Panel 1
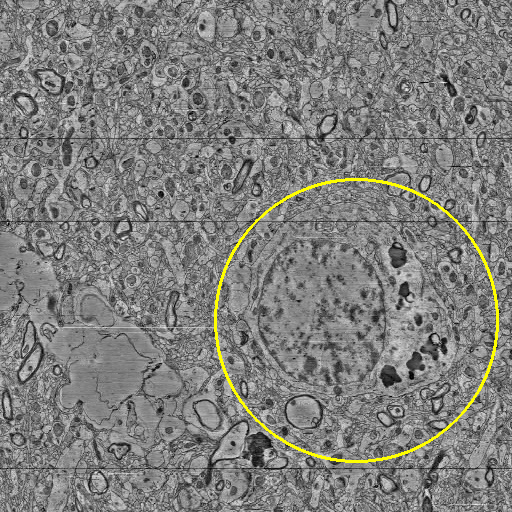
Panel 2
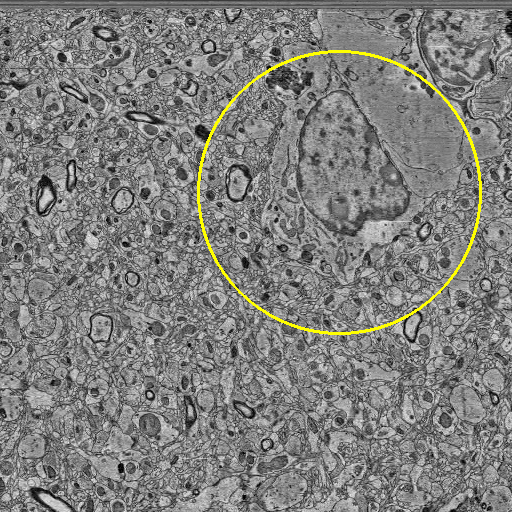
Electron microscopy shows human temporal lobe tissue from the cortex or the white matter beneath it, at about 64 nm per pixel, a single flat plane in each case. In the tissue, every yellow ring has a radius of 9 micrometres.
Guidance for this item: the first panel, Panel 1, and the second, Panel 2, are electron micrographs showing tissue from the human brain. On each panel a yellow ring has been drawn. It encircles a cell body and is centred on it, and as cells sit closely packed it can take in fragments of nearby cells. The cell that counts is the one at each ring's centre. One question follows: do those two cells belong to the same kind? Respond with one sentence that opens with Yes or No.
No, the cells at the ring centres in Panel 1 and Panel 2 are of two kinds.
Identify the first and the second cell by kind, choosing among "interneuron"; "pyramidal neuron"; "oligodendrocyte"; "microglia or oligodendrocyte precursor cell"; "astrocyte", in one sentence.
The one in the first picture is an interneuron, while the one in the second is a microglial cell or oligodendrocyte precursor cell.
